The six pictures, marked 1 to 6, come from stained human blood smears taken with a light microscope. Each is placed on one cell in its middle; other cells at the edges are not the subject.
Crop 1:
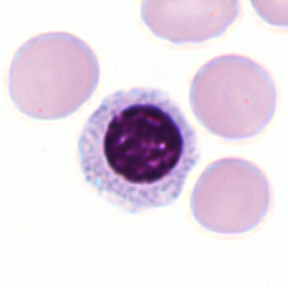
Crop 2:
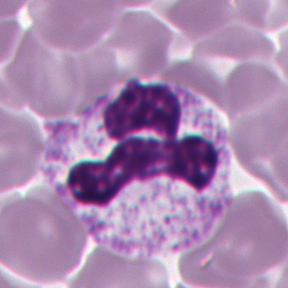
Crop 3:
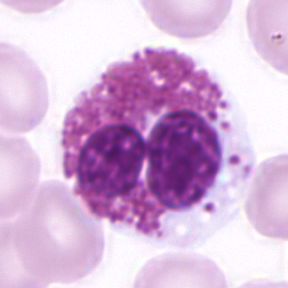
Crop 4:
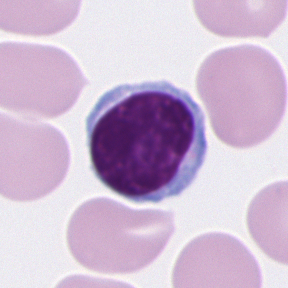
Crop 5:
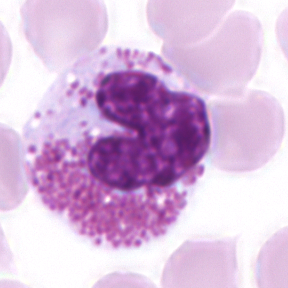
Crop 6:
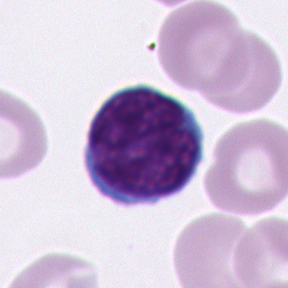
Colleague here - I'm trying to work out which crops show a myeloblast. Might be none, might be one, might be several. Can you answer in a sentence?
No central cell in the series of crops is a myeloblast.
